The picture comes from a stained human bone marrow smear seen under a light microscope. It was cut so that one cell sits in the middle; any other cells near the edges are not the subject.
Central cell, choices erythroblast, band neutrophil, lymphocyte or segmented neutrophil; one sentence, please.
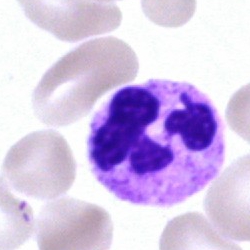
Classification of the middle cell gives a segmented neutrophil.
